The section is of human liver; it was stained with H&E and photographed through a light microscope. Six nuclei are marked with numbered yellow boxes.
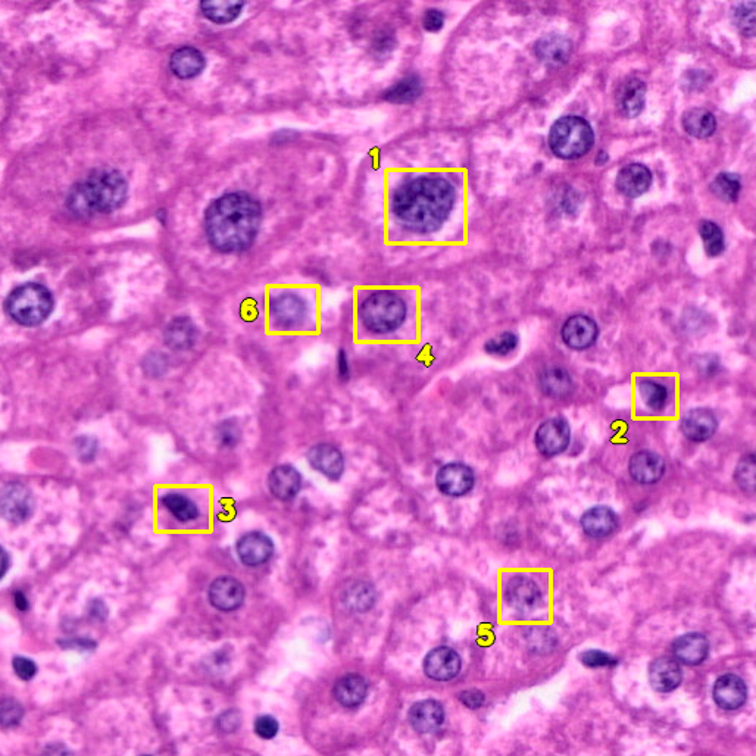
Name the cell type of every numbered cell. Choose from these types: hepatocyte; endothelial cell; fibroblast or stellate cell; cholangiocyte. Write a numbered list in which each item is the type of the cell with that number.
1. hepatocyte
2. endothelial cell
3. fibroblast or stellate cell
4. hepatocyte
5. hepatocyte
6. hepatocyte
